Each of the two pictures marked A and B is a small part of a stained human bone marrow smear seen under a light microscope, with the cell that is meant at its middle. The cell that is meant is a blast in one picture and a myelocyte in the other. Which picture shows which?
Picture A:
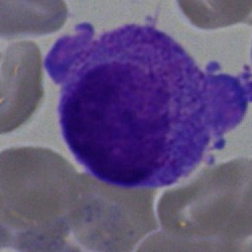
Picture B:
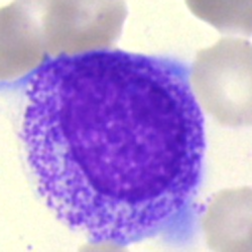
A: blast
B: myelocyte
